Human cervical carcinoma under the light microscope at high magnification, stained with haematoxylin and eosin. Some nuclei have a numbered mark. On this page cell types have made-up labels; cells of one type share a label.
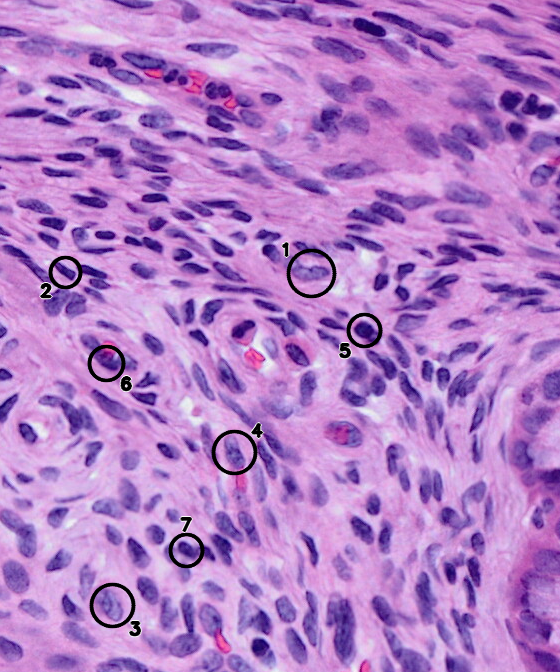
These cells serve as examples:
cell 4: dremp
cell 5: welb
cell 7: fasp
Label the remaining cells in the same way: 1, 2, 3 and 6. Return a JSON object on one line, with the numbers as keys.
{"1": "dremp", "2": "fasp", "3": "dremp", "6": "dremp"}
